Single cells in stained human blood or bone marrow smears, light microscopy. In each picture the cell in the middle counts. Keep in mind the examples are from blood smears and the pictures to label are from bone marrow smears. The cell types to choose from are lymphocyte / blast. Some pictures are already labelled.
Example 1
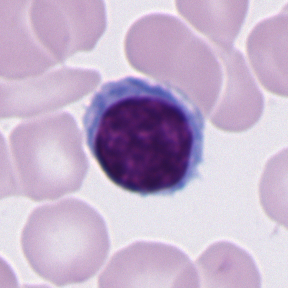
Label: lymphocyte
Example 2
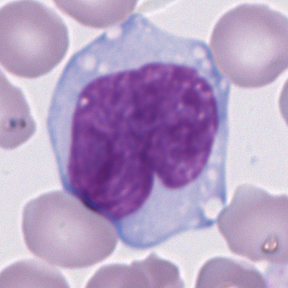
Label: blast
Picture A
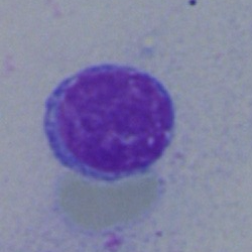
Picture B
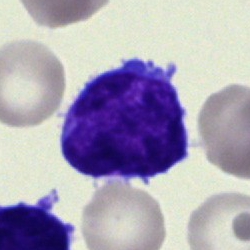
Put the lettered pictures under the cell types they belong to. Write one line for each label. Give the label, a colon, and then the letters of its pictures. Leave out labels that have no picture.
lymphocyte: A
blast: B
